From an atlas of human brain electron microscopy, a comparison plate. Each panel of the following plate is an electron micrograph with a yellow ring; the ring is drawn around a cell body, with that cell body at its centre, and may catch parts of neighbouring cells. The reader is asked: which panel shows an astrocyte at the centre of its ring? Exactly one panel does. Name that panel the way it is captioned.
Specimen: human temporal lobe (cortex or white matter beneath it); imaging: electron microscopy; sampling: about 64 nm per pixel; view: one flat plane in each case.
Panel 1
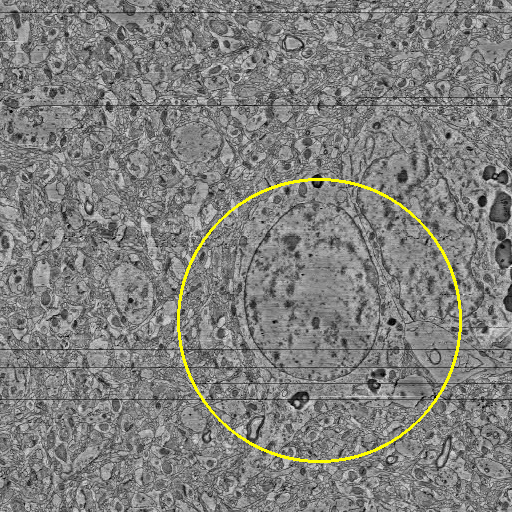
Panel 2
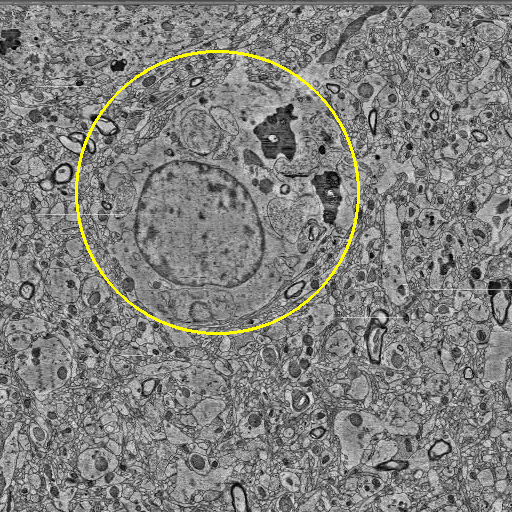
Panel 2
